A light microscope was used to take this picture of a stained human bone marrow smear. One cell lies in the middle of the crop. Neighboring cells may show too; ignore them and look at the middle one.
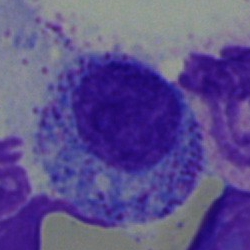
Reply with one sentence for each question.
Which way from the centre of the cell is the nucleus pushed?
The nucleus lies toward the top of the cell.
